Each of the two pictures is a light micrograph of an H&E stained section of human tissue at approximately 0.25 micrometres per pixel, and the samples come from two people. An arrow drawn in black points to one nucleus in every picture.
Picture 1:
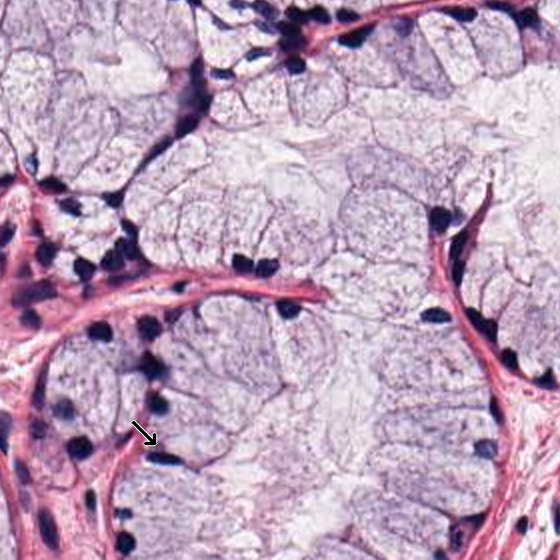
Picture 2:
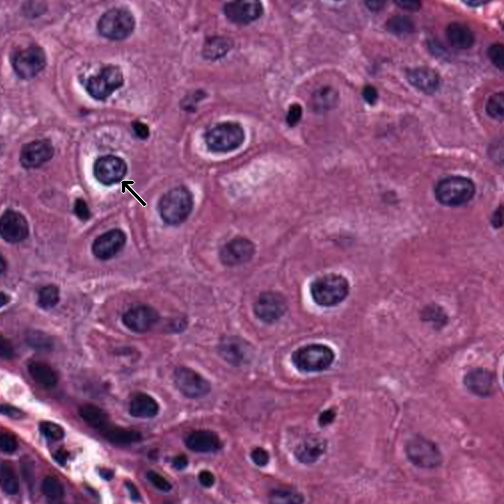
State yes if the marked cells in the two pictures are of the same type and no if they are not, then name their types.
No, the first is a mucous gland cell and the second a squamous epithelial cell.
